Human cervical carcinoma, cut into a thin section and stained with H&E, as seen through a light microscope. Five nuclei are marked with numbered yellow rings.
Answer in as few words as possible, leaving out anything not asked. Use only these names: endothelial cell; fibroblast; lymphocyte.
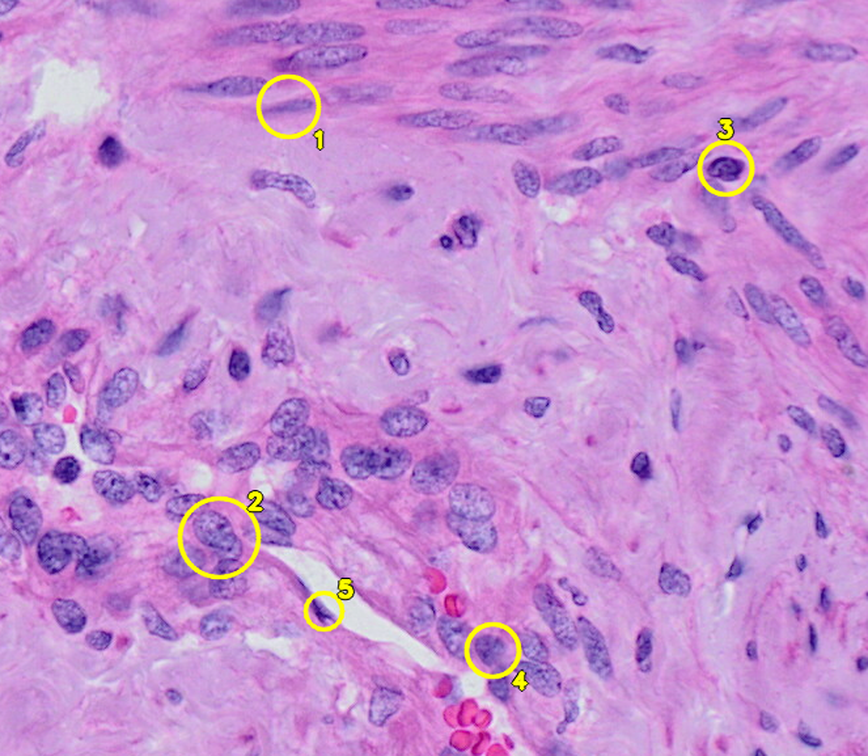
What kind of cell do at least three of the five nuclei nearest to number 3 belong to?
fibroblast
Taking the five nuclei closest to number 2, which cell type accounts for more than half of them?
endothelial cell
